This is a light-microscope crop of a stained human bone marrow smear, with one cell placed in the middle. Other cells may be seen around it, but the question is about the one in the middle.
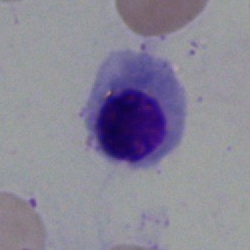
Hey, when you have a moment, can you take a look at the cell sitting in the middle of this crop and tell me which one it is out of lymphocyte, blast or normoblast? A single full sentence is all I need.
Occupying the centre of the crop is a normoblast.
